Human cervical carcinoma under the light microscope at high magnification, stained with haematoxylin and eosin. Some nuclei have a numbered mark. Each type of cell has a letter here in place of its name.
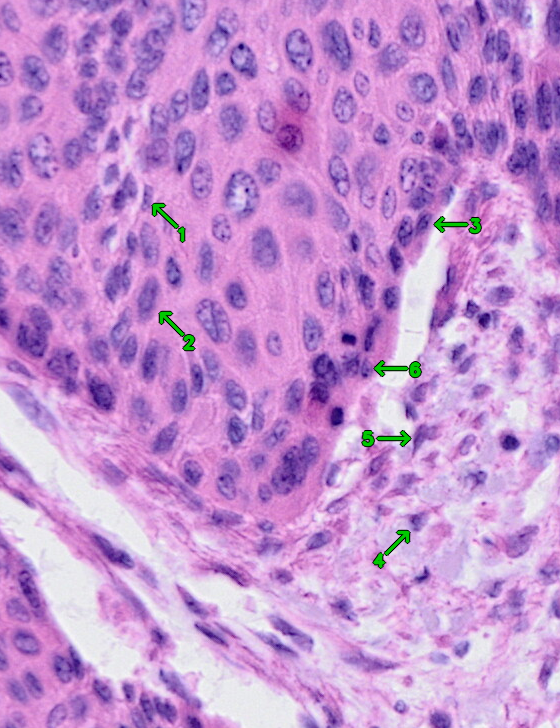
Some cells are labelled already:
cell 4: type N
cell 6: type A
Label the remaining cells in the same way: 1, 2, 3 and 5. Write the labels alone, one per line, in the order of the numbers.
type A
type A
type A
type N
